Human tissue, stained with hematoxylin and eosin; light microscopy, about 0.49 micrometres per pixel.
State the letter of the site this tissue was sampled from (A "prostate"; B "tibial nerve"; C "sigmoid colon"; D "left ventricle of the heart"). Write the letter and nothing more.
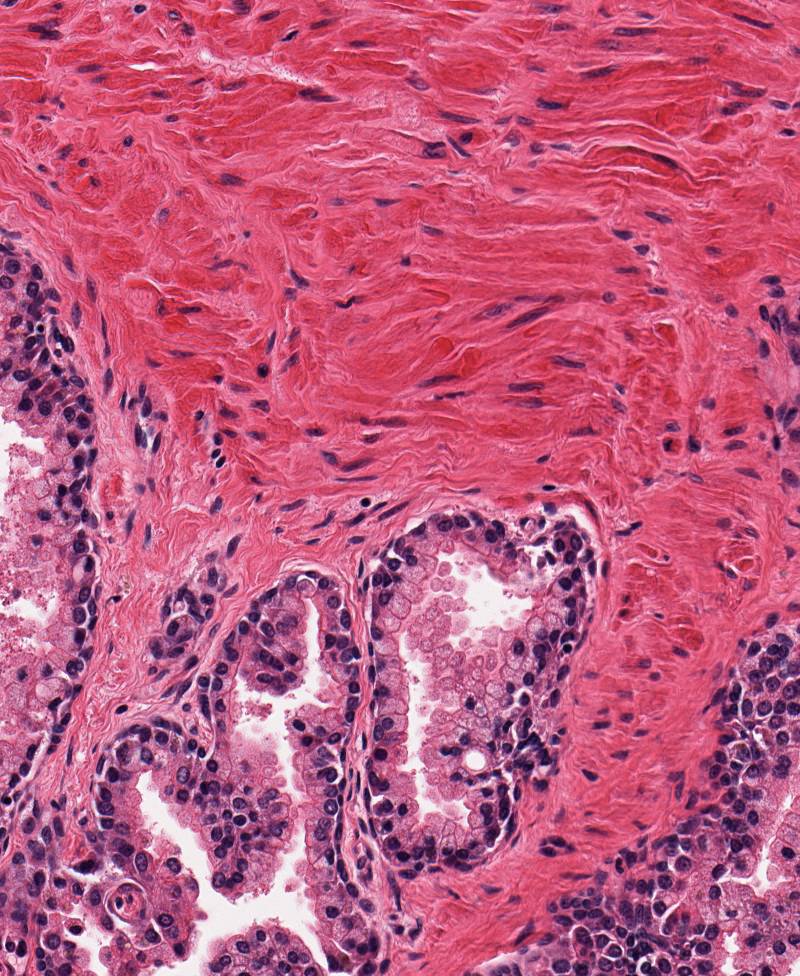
A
